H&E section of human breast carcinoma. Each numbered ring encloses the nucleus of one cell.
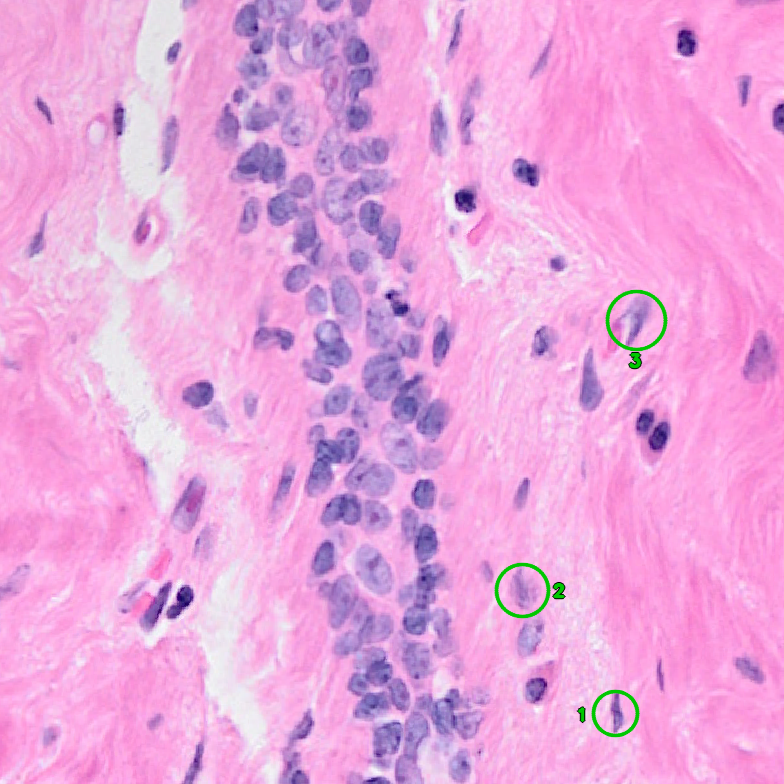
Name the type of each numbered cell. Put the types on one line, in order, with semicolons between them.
fibroblast; fibroblast; endothelial cell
